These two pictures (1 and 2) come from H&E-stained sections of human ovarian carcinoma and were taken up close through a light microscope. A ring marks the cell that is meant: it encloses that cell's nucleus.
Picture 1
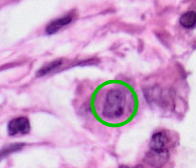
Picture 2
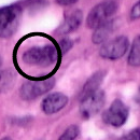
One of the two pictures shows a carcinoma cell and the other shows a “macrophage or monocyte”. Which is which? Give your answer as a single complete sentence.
Picture 2 shows a carcinoma cell, while picture 1 shows a “macrophage or monocyte”.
